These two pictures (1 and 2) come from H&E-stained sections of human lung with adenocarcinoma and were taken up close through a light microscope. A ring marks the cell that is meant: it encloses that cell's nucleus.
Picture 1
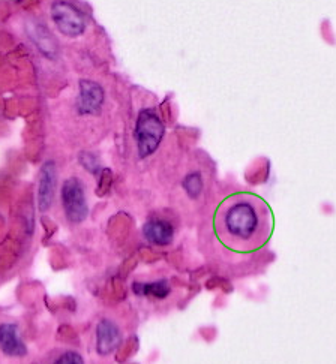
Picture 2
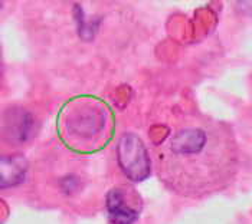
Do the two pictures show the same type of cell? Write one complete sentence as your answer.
Yes, both cells are “macrophages or monocytes”.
